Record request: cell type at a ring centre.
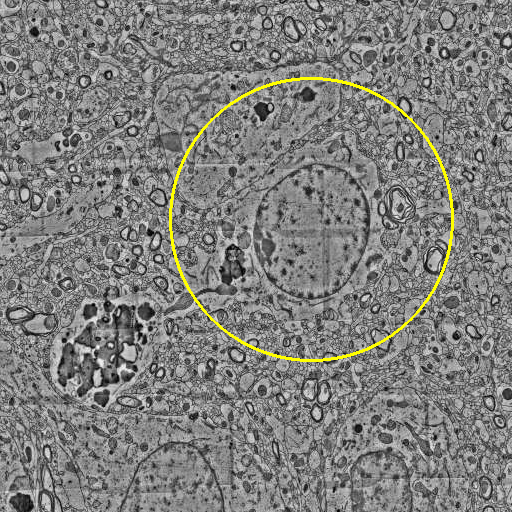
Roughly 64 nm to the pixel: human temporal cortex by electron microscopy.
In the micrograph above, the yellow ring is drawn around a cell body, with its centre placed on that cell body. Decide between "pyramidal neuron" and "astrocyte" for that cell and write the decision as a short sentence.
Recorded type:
The cell centred in the yellow ring is an astrocyte.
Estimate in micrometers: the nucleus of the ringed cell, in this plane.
In this plane the nucleus measures roughly 9 by 7 micrometres.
